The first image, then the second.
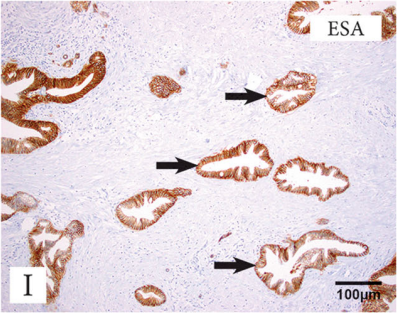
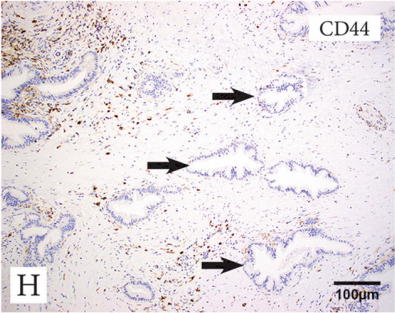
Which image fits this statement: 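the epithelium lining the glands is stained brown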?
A: The first image.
